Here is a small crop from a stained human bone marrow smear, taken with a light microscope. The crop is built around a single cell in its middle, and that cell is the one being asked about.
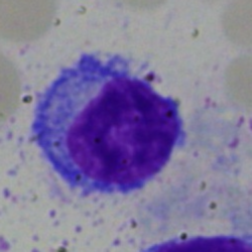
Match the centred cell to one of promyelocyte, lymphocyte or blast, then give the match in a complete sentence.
In the centre of this crop there is a lymphocyte.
